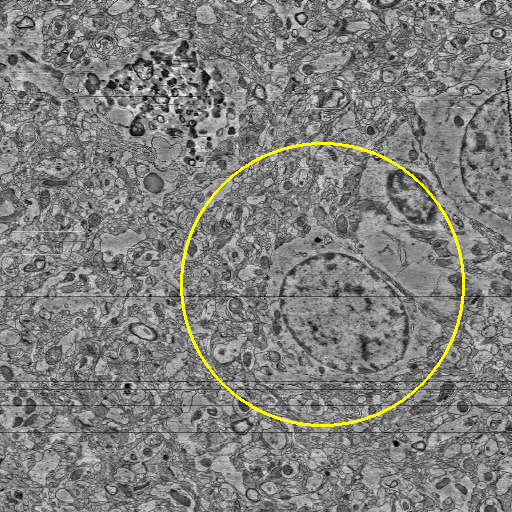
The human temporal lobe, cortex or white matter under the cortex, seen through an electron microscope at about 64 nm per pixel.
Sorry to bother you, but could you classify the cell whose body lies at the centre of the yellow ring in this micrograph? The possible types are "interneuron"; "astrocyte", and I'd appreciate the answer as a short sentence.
The ringed cell body is that of an astrocyte.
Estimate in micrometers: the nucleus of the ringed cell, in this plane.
About 9 by 7 micrometers, in this plane.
